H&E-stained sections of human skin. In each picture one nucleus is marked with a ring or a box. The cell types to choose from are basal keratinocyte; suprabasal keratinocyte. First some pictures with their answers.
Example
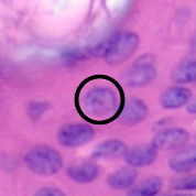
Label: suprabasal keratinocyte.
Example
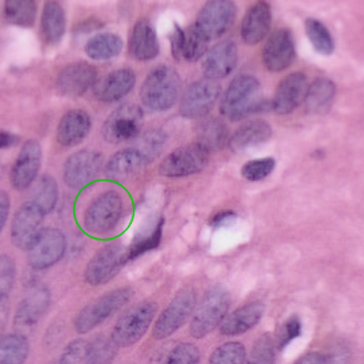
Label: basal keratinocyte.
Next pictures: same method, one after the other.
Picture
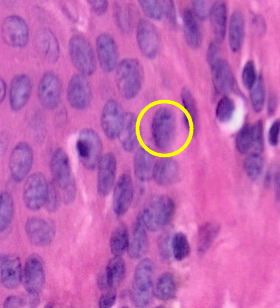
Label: basal keratinocyte.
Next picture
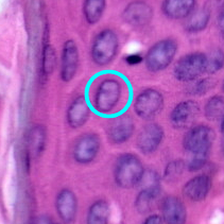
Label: suprabasal keratinocyte.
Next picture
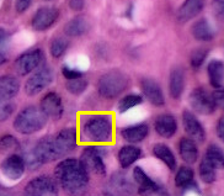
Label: basal keratinocyte.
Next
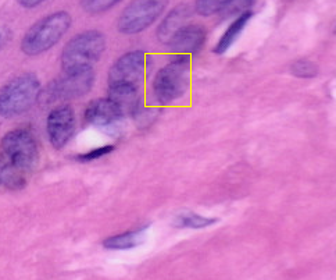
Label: basal keratinocyte.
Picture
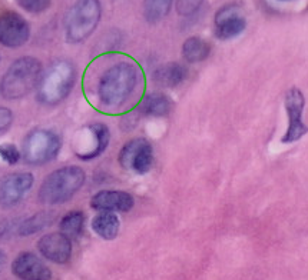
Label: suprabasal keratinocyte.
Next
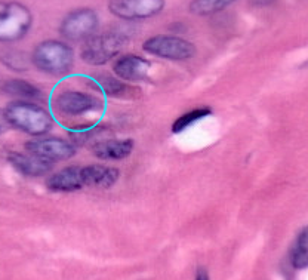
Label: basal keratinocyte.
